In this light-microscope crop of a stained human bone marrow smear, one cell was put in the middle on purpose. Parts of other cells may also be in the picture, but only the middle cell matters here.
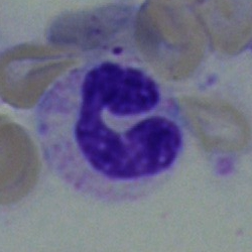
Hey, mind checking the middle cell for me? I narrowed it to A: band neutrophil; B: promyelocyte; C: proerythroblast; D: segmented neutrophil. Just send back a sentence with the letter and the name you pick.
Occupying the middle of the crop is a band neutrophil, hence option A is correct.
